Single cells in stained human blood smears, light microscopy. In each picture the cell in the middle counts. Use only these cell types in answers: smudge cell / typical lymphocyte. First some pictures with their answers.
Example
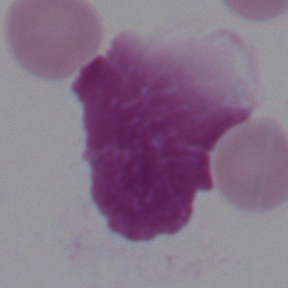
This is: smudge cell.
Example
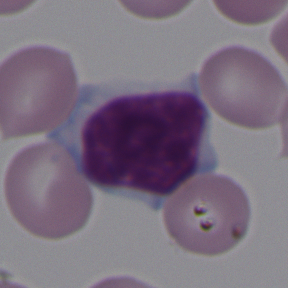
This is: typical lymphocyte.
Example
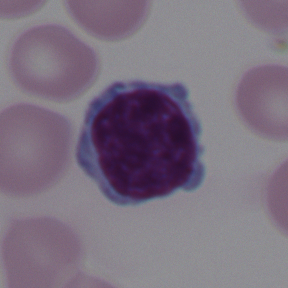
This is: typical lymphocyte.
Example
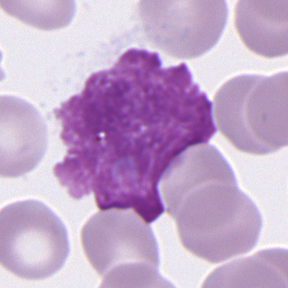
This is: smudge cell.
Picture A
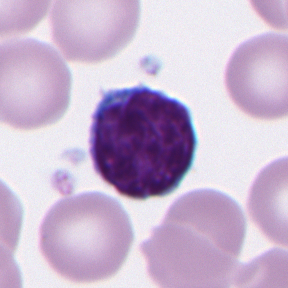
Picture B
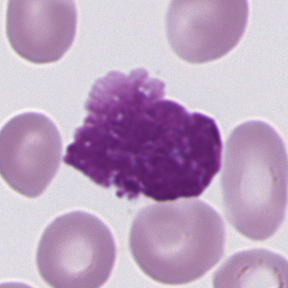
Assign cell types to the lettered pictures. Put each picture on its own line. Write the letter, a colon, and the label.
A: typical lymphocyte.
B: smudge cell.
